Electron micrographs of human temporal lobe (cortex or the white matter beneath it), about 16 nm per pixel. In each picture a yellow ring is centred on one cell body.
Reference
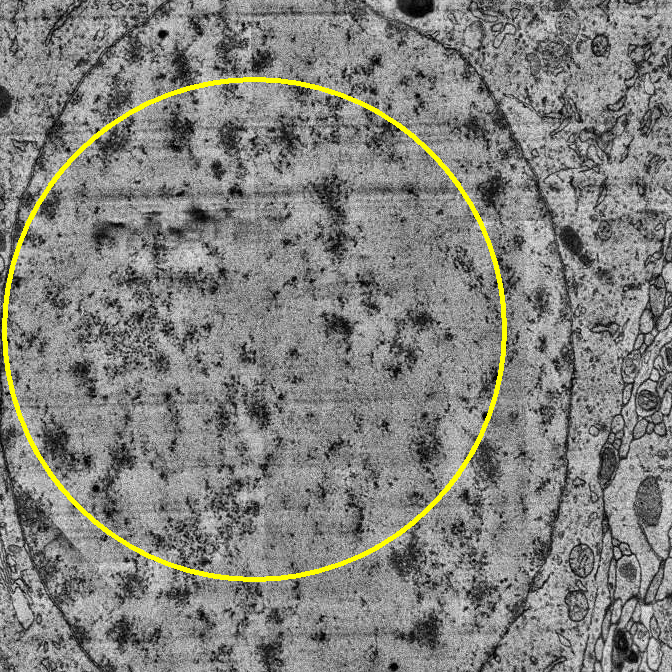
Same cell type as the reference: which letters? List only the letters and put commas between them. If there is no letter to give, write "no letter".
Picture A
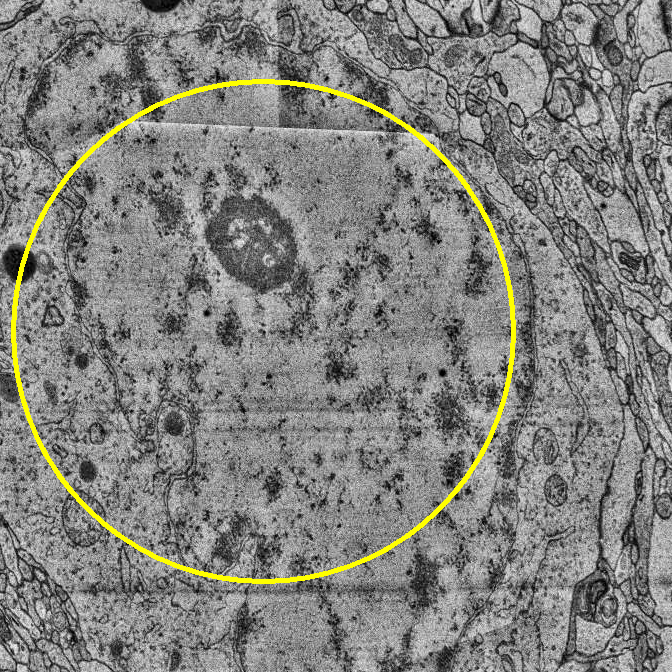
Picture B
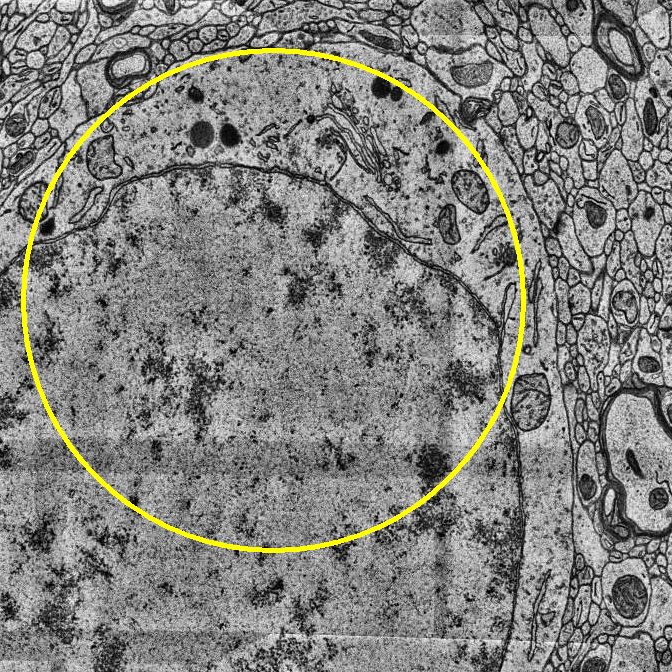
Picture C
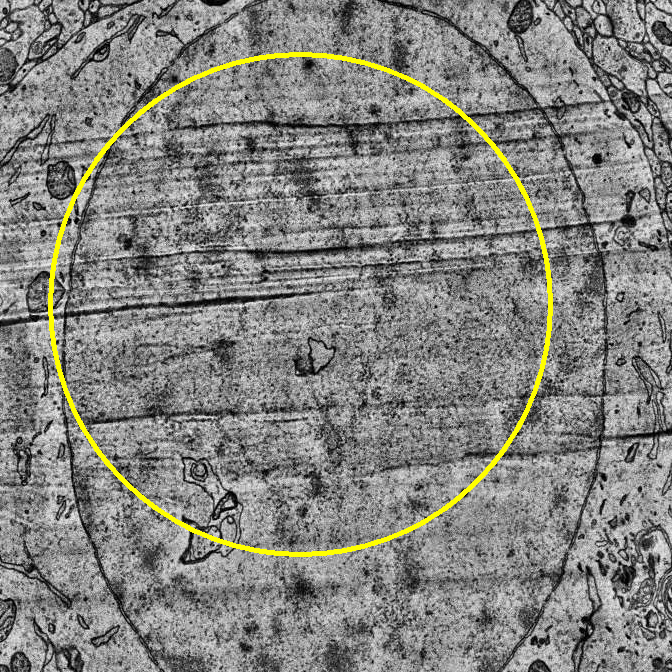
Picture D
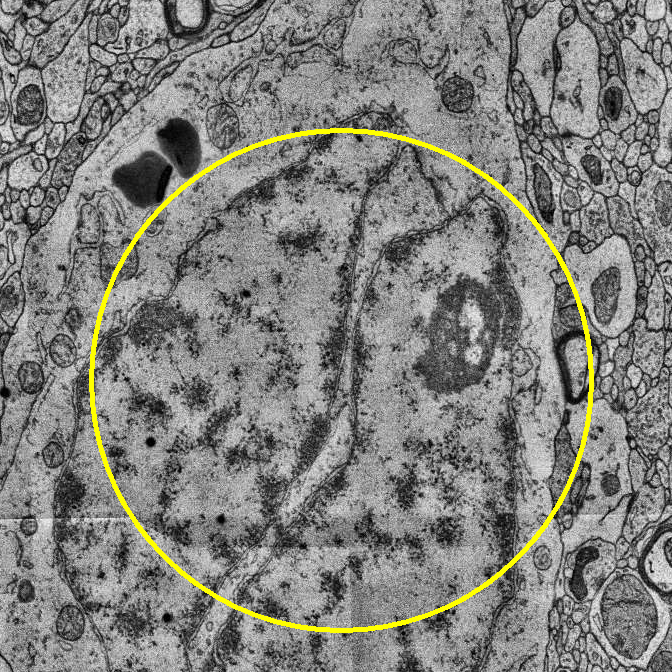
B, C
